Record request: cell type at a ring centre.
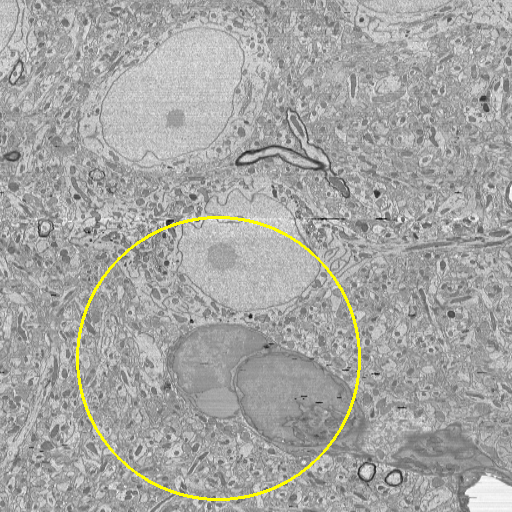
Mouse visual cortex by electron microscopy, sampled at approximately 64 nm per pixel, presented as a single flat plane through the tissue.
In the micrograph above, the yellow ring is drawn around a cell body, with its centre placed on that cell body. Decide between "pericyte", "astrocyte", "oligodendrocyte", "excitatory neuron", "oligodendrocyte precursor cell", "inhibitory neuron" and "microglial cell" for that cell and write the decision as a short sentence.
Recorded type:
The cell centred in the yellow ring is a microglial cell.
